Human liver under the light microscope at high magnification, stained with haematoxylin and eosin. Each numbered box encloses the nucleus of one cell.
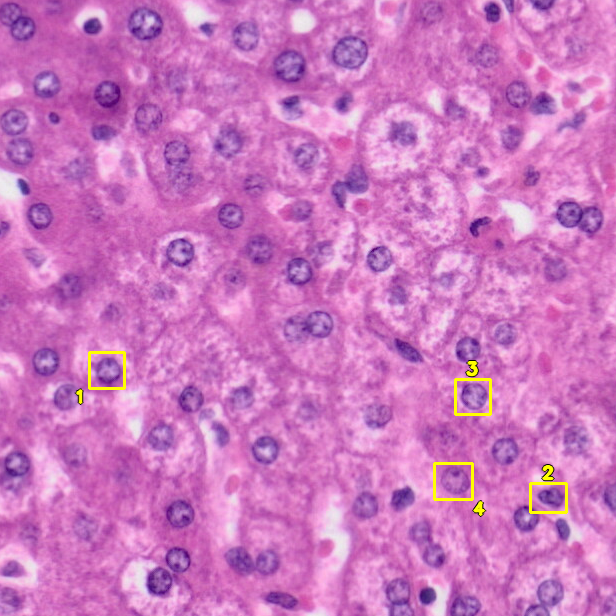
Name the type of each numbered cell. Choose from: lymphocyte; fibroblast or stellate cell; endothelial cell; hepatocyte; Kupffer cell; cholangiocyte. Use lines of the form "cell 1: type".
cell 1: hepatocyte
cell 2: Kupffer cell
cell 3: hepatocyte
cell 4: hepatocyte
